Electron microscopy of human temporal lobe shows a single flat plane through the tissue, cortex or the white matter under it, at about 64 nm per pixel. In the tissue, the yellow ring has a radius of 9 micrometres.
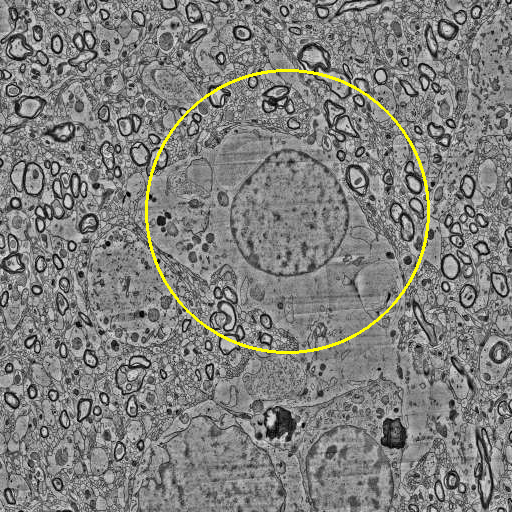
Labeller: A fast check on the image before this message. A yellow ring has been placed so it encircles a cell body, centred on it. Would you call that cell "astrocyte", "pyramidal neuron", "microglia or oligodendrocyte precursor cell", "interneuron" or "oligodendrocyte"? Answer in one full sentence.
In this image, an astrocyte is the cell on which the yellow ring is centred.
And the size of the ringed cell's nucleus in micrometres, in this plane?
About 8 micrometres across in this plane, for the nucleus.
